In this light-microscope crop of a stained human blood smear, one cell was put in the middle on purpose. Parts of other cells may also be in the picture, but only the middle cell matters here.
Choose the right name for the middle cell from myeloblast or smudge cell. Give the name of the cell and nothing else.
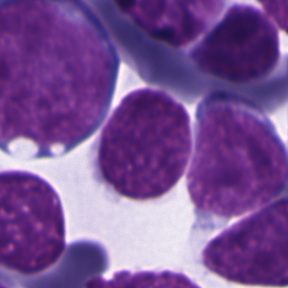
myeloblast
